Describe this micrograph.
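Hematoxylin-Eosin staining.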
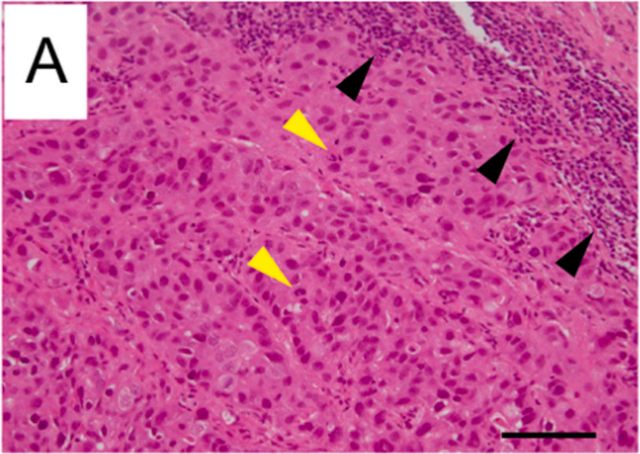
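Sheets and nests of relatively enlarged malignant cells fill most of the field, with abundant pink cytoplasm and large, irregular, darkly stained nuclei that vary in size and shape. At the upper right edge lies a dense band of small cells with round, dark-blue nuclei and little cytoplasm, consistent with lymphocytes infiltrating next to the tumour. Thin strands of pale stroma run between the tumour cell groups.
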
